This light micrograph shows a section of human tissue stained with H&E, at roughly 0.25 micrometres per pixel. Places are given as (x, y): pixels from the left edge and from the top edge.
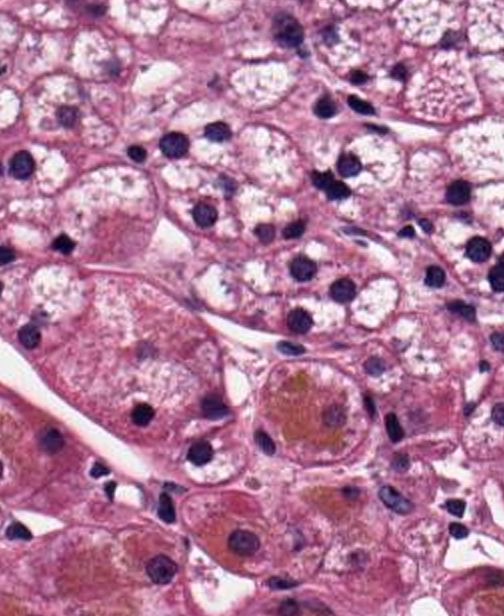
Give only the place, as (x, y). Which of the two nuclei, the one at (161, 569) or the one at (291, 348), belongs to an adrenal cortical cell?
(161, 569)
